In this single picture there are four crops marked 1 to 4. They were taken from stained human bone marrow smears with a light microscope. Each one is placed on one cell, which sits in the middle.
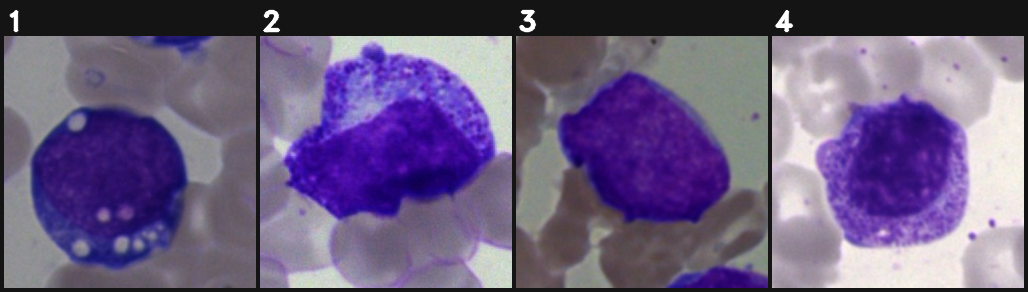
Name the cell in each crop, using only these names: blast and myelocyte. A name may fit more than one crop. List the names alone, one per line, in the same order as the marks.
blast
myelocyte
blast
myelocyte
